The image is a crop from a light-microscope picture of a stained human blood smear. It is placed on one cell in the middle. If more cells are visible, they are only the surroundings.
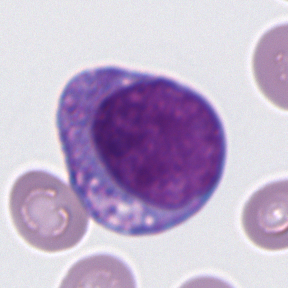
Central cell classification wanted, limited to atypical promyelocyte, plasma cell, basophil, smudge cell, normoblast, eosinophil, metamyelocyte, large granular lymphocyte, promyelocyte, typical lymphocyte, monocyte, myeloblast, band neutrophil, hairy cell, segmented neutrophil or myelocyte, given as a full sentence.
As for the cell in the middle, it is an atypical promyelocyte.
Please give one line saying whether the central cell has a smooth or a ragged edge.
Thanks for asking; the cell edge is smooth and has no projections.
